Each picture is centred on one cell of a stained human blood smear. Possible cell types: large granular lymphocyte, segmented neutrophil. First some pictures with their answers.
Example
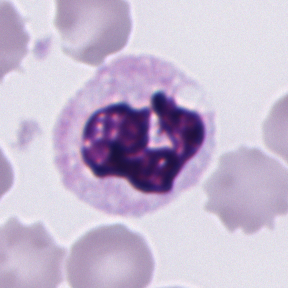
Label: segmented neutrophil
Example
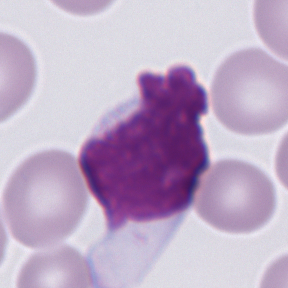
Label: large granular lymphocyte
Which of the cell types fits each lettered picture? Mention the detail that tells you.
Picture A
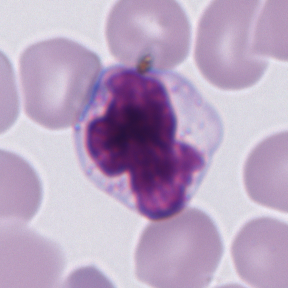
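Answer: large granular lymphocyte. The nucleus fills most of the cell.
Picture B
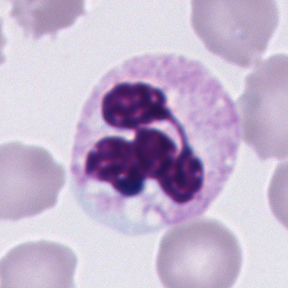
Answer: segmented neutrophil. The cytoplasm is abundant and pale pinkish-lilac.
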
